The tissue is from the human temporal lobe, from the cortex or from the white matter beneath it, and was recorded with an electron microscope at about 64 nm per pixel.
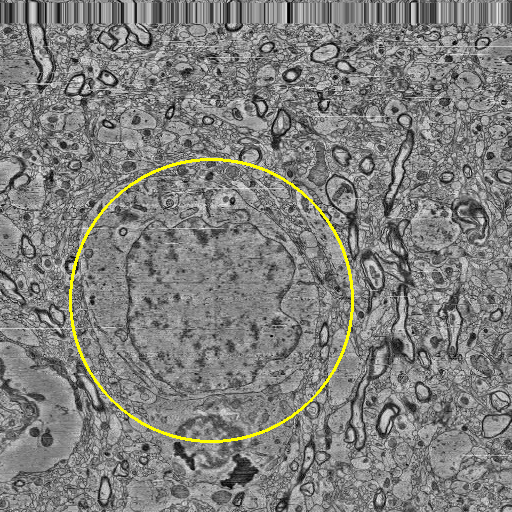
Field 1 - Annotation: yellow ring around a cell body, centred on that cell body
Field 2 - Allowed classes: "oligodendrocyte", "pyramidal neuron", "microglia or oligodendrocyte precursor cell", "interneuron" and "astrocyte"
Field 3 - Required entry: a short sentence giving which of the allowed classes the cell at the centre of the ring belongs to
The centred cell is an interneuron.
